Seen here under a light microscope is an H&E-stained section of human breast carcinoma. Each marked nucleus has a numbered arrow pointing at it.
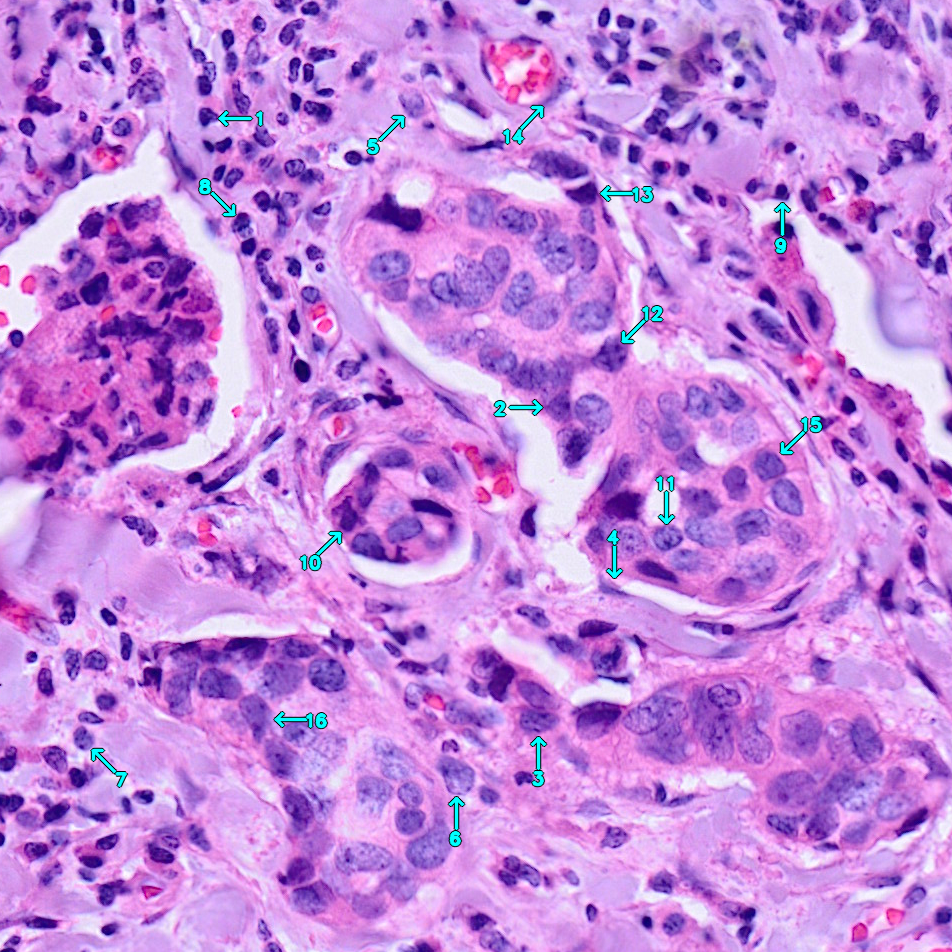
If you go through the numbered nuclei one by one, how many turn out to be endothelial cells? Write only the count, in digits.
1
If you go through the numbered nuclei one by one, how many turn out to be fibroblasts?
1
